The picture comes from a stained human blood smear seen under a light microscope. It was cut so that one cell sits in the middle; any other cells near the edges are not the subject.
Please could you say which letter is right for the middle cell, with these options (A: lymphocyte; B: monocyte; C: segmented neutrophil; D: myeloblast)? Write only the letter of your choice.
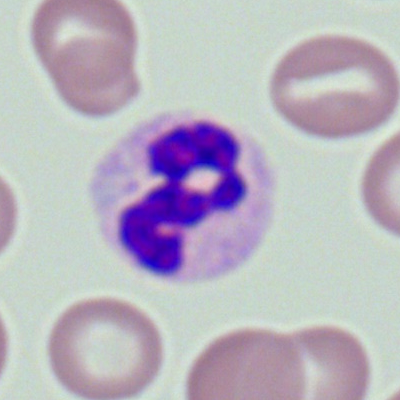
C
